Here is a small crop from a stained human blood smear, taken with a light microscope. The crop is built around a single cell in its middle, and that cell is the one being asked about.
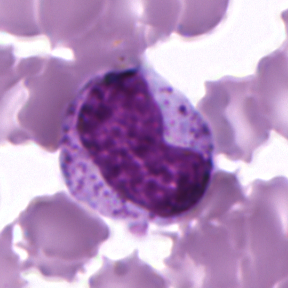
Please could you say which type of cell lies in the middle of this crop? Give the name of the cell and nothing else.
metamyelocyte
